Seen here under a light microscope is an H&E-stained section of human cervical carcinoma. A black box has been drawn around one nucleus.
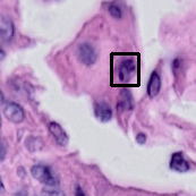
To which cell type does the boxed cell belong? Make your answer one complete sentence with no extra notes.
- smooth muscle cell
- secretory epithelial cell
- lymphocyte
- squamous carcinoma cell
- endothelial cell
Histopathologically, the boxed cell is a squamous carcinoma cell.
